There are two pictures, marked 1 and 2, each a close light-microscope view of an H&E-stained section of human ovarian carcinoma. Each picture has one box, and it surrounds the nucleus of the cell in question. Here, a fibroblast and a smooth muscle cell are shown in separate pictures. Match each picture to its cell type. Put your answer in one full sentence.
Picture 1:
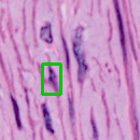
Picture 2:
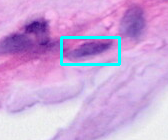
Picture 2 shows a smooth muscle cell, while picture 1 shows a fibroblast.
